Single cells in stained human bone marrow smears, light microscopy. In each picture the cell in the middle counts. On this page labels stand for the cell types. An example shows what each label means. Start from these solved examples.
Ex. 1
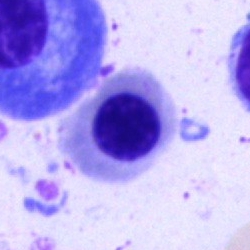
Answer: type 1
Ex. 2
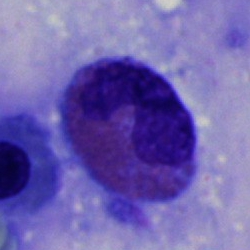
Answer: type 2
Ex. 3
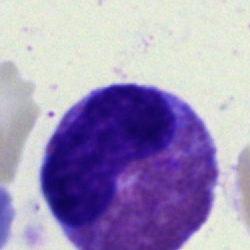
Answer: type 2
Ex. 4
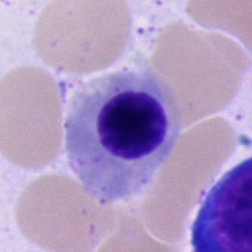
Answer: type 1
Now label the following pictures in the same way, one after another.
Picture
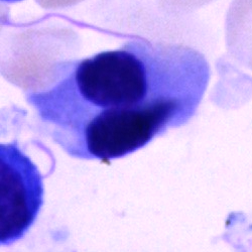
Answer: type 1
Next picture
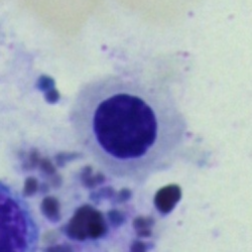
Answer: type 1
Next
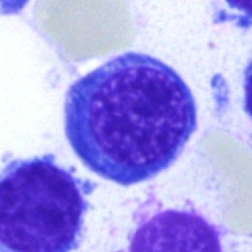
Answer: type 1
